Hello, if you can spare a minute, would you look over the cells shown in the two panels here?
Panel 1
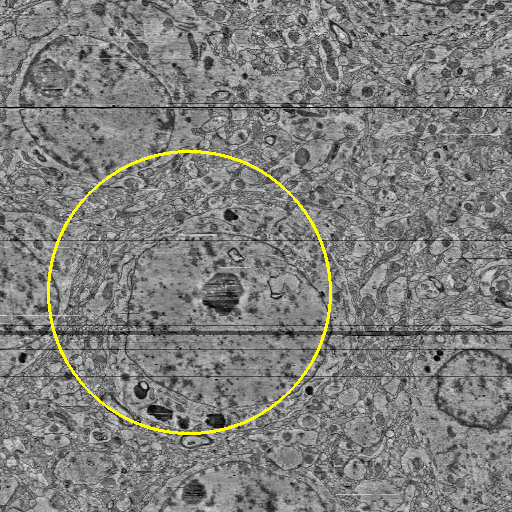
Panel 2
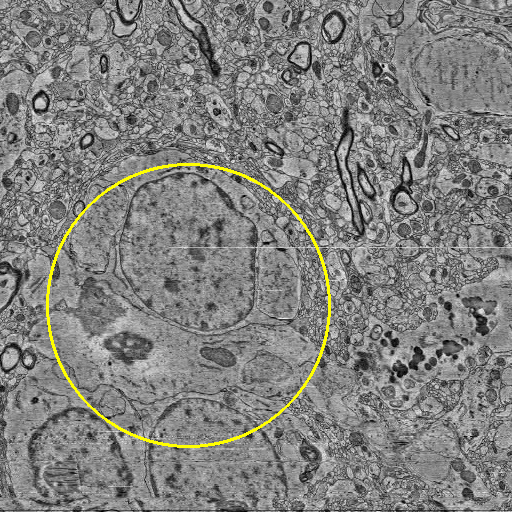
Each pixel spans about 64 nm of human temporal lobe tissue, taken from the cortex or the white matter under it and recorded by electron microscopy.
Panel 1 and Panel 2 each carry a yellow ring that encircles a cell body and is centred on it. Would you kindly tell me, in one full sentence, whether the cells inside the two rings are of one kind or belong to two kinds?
The cells at the centres of the rings in Panel 1 and Panel 2 belong to two kinds.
